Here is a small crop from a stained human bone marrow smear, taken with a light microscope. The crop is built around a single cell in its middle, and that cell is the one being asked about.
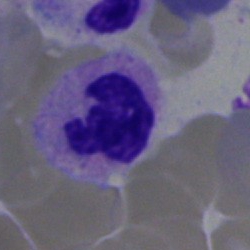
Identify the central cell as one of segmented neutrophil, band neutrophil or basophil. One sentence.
For this crop, the central cell is a segmented neutrophil.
